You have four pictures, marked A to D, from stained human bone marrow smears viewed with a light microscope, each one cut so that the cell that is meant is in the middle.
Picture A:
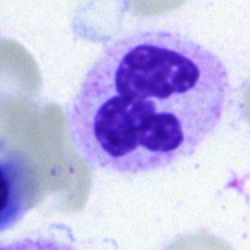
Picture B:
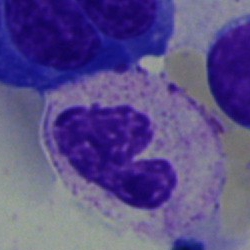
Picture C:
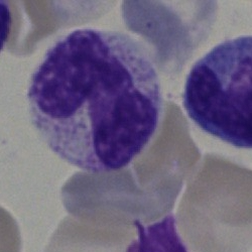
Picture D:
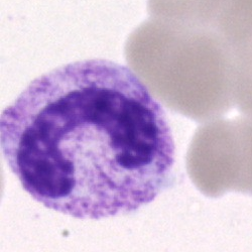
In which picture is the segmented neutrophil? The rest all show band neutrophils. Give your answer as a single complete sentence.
Picture A shows the segmented neutrophil.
